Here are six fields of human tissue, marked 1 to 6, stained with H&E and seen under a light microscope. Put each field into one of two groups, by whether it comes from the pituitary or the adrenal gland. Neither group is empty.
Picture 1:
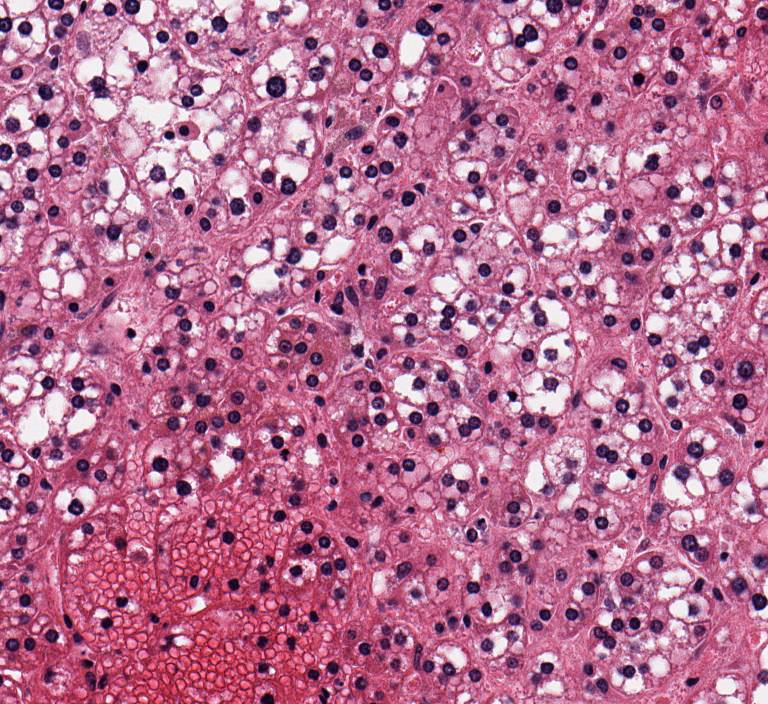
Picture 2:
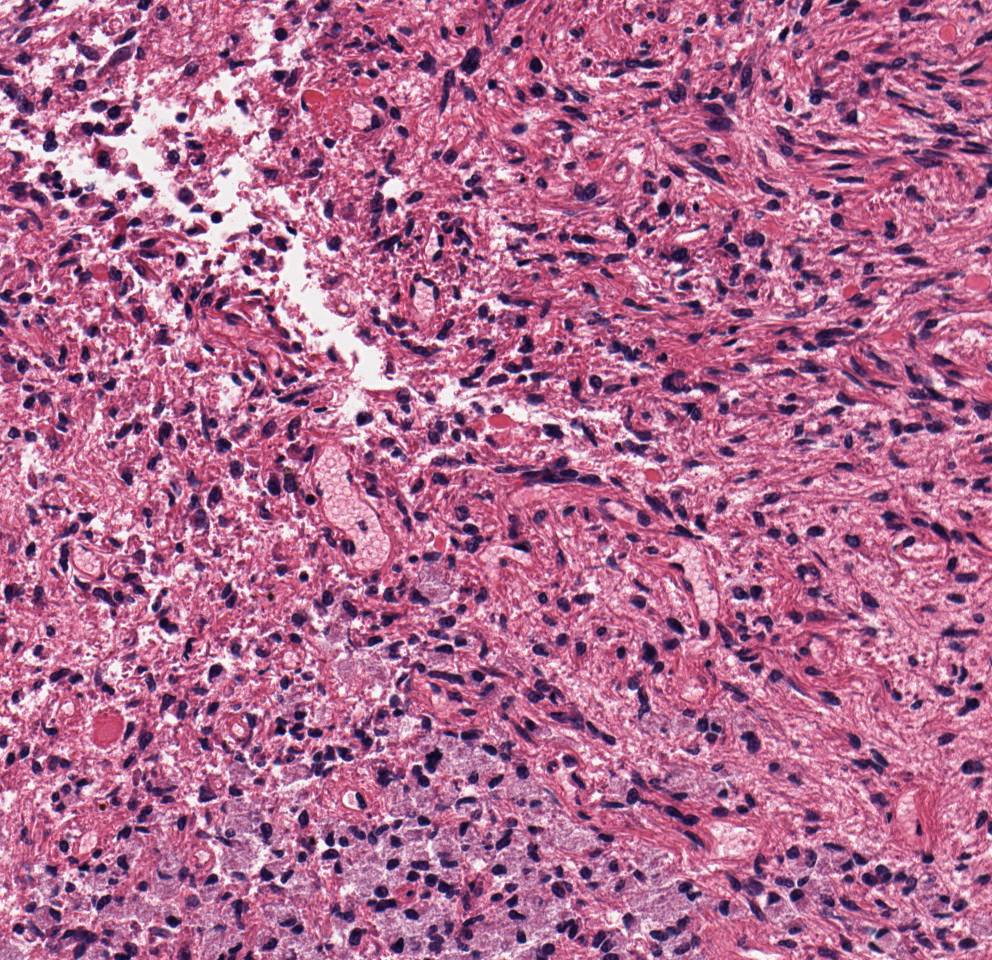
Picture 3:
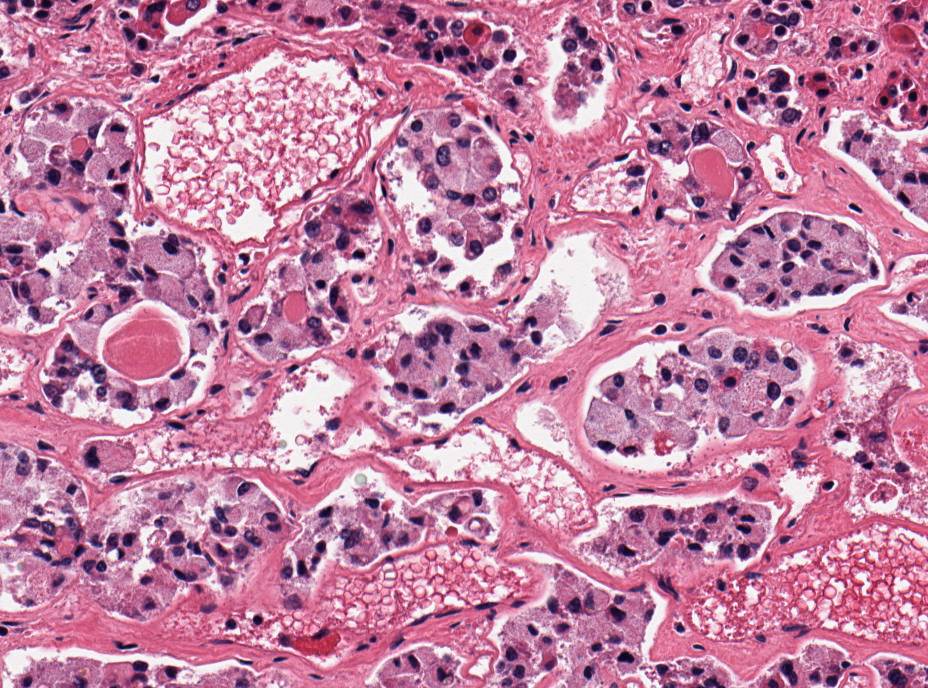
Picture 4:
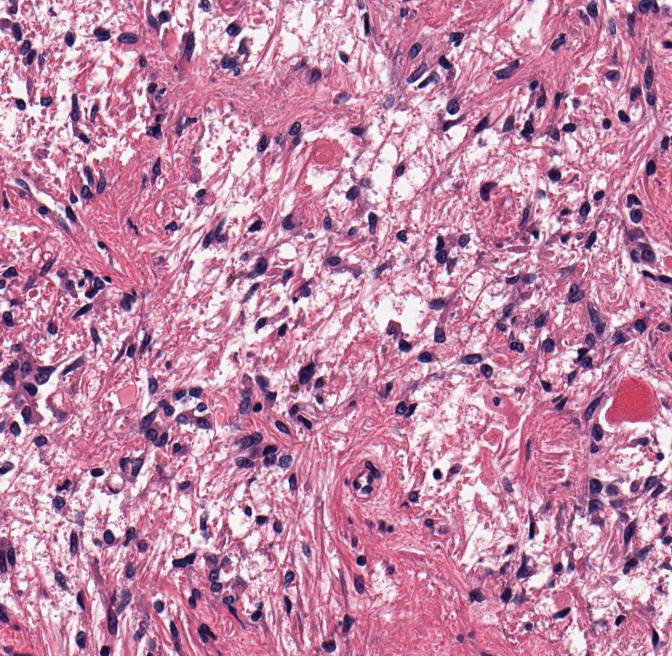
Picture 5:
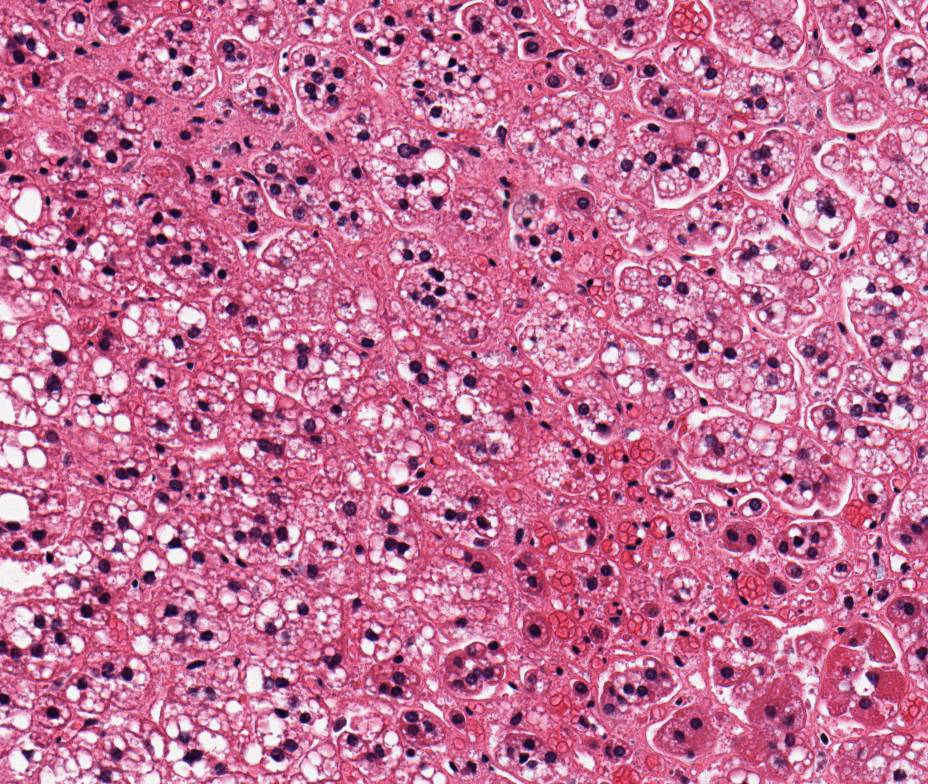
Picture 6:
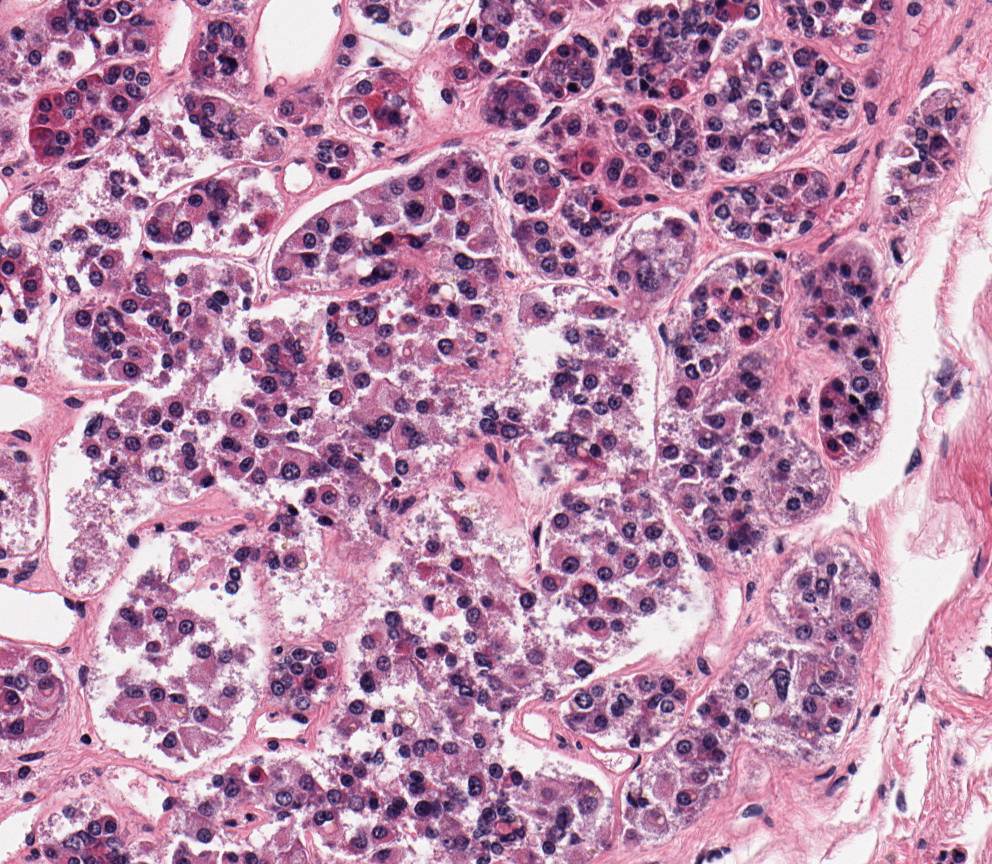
1: adrenal gland
2: pituitary
3: pituitary
4: pituitary
5: adrenal gland
6: pituitary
